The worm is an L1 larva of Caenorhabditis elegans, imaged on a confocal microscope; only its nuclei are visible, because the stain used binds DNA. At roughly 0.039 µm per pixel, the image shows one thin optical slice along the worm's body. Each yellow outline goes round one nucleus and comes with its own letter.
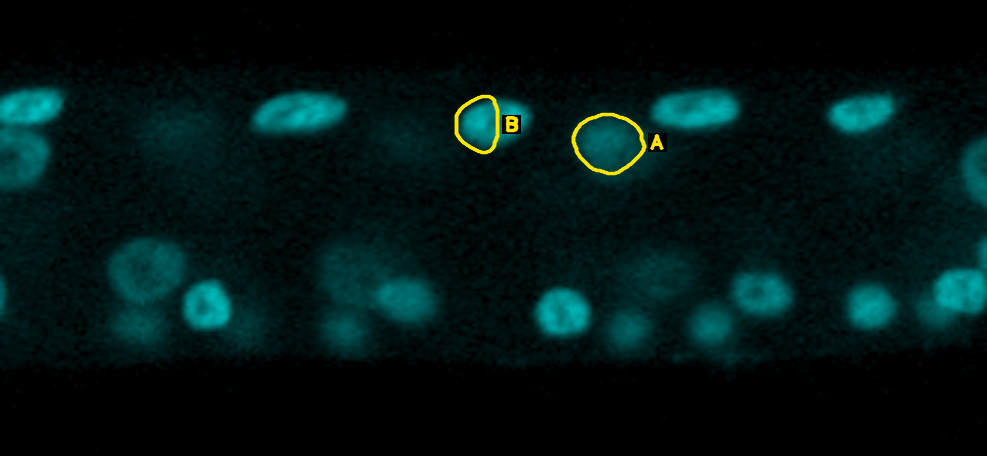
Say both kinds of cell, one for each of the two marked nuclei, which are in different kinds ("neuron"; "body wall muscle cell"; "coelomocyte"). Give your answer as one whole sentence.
B belongs to a body wall muscle cell, and A to a neuron.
